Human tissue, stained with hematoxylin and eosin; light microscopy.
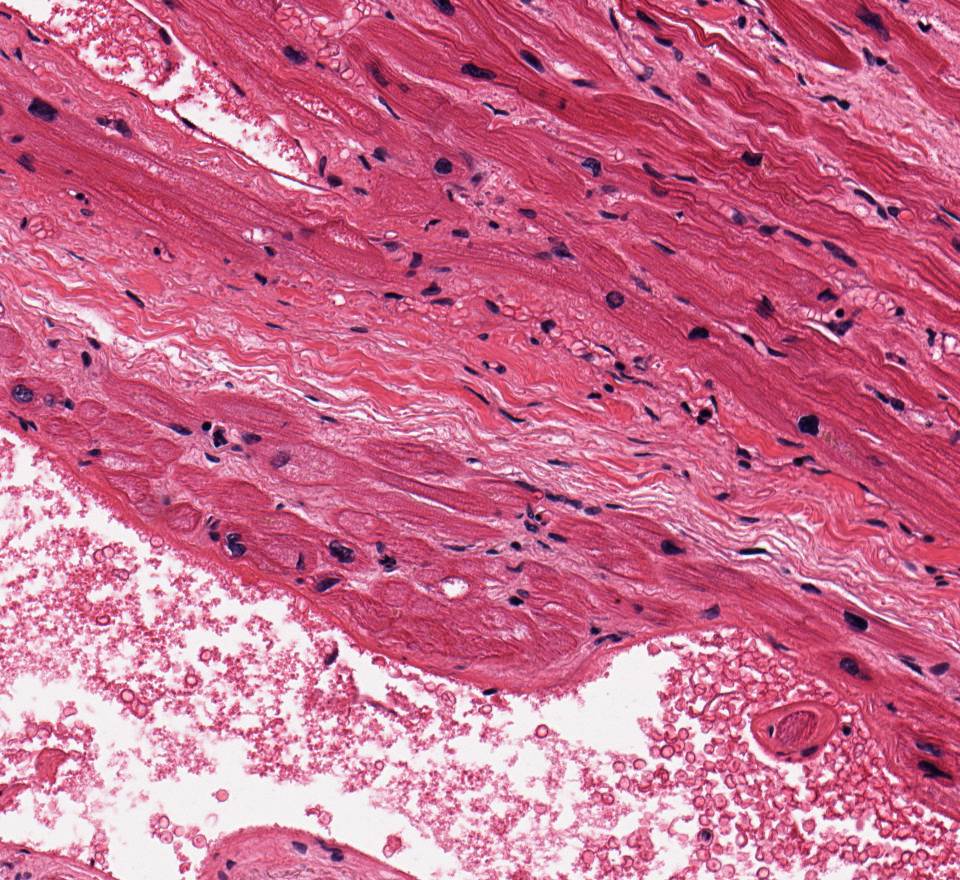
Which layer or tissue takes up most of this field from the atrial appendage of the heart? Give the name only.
myocardium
